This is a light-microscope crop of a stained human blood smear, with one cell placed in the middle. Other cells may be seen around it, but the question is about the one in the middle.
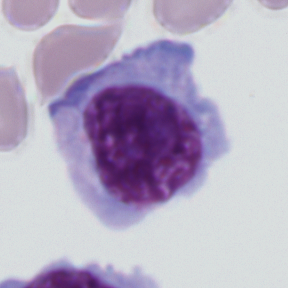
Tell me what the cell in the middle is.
plasma cell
